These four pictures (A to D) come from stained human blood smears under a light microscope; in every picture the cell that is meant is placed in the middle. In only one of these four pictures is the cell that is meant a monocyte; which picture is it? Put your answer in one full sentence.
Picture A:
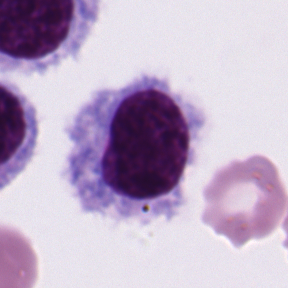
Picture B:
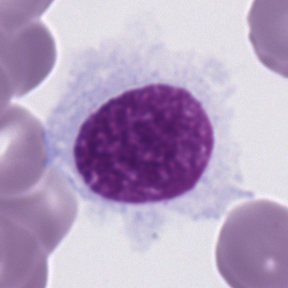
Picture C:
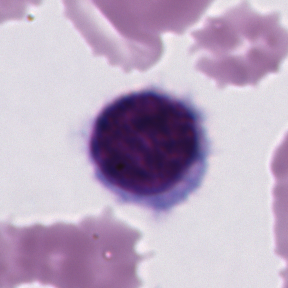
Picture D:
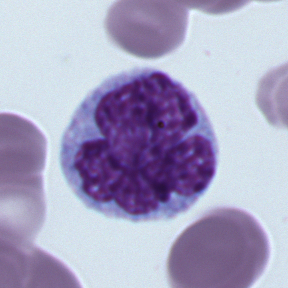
Picture D shows the monocyte.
